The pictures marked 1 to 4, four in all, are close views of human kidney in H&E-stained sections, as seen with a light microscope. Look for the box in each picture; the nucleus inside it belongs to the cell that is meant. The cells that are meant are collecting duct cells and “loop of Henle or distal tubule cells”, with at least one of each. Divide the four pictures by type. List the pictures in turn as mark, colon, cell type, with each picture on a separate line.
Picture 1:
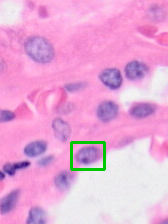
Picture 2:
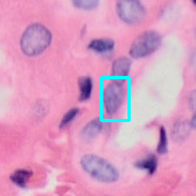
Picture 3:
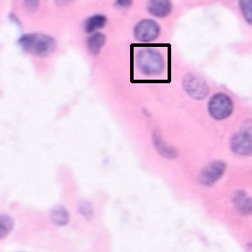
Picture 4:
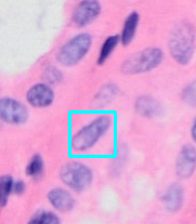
1: loop of Henle or distal tubule cell
2: collecting duct cell
3: collecting duct cell
4: collecting duct cell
